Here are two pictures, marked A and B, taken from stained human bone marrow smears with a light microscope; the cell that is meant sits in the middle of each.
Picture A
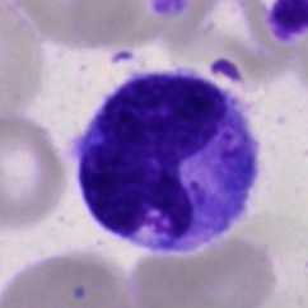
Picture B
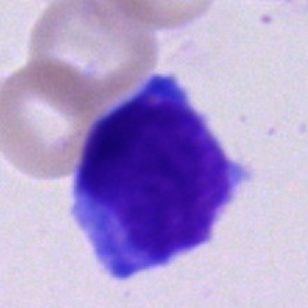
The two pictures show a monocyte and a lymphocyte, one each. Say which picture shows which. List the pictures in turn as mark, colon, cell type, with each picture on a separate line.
A: monocyte
B: lymphocyte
